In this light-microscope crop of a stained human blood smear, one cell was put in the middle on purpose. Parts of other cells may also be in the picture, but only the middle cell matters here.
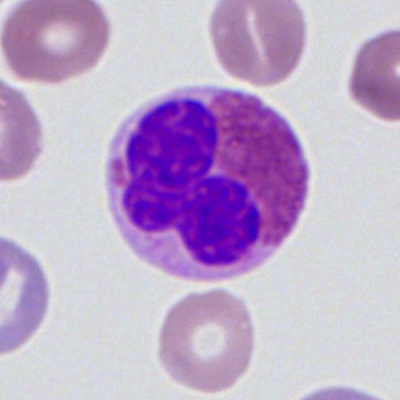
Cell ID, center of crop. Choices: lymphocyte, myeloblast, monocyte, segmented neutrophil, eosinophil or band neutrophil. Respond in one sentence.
Seen at the centre of the crop is an eosinophil.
